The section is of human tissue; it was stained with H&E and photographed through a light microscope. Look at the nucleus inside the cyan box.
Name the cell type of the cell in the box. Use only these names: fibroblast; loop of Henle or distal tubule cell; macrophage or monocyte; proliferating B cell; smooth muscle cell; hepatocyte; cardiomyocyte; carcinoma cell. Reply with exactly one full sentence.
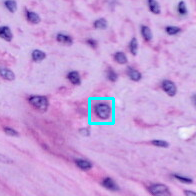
The cell type of the cell in the box is that of a smooth muscle cell.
